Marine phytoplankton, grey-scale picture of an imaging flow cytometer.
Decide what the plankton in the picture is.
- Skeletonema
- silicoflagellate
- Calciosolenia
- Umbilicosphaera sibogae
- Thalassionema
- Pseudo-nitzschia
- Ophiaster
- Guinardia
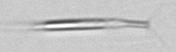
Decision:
Calciosolenia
